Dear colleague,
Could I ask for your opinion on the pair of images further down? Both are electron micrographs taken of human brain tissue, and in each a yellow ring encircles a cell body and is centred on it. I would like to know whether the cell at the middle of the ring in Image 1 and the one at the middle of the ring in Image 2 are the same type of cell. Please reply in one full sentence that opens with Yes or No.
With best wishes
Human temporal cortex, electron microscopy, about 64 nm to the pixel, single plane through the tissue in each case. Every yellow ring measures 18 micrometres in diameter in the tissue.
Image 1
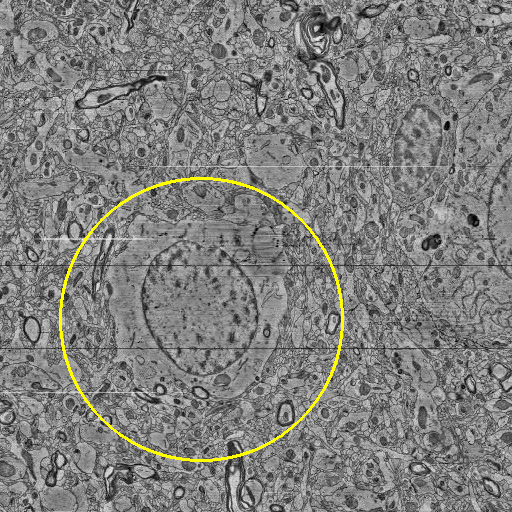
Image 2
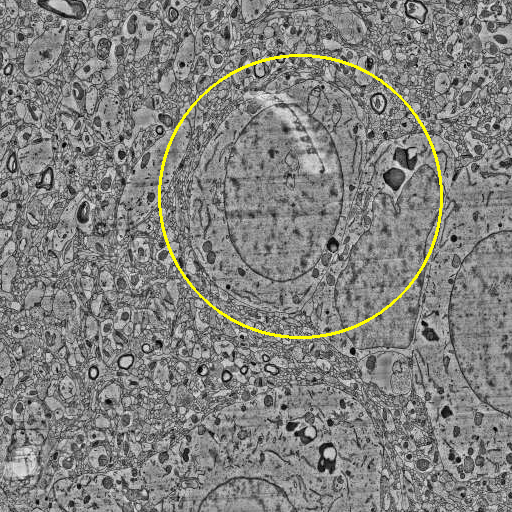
No, the cells at the ring centres in Image 1 and Image 2 are of two types.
